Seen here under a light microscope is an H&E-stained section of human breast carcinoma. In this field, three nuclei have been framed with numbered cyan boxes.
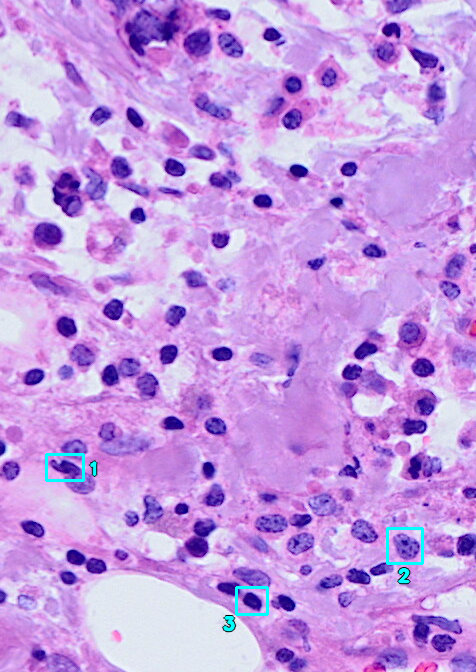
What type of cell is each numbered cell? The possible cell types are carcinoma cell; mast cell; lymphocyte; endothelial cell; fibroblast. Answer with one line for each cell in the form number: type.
1: lymphocyte
2: mast cell
3: lymphocyte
